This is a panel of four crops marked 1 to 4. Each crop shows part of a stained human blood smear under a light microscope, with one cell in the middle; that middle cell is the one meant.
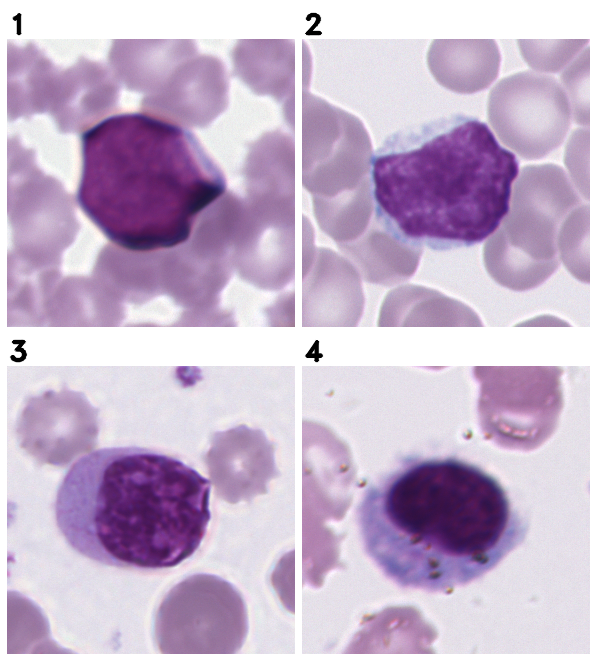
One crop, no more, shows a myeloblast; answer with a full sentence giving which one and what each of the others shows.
Here crop 1 shows a myeloblast, while crop 2 is a typical lymphocyte, crop 3 is a plasma cell and crop 4 is a hairy cell.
